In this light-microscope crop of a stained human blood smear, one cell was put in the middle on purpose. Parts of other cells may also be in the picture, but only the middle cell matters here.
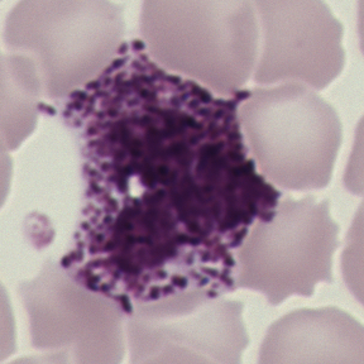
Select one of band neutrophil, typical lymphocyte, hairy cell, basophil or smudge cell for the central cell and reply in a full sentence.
The center cell of this crop is a basophil.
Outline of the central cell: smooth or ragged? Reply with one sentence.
The boundary of the cell runs irregularly, ragged in parts or drawn into projections.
